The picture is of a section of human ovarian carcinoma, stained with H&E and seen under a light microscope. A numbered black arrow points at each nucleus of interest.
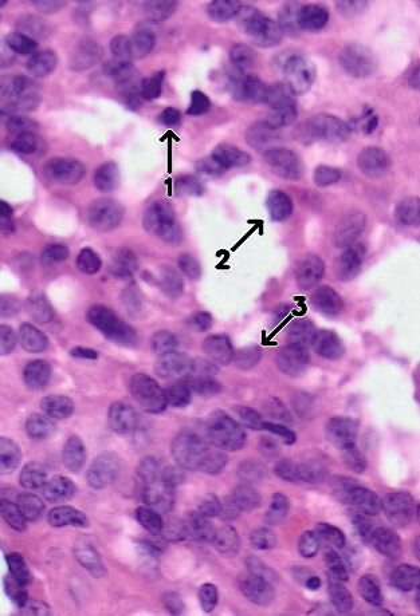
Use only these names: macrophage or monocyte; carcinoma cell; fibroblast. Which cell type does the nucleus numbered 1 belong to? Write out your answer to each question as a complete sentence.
The cell pointed out by number 1 is a macrophage or monocyte.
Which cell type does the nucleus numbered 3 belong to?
The cell numbered 3 has been identified as a carcinoma cell.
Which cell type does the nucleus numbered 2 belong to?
As for number 2, that cell is a carcinoma cell.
